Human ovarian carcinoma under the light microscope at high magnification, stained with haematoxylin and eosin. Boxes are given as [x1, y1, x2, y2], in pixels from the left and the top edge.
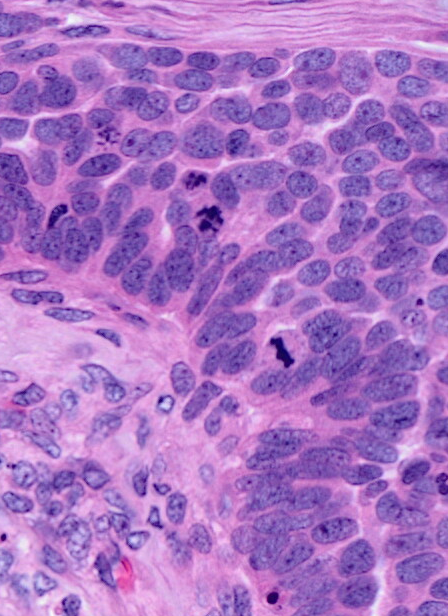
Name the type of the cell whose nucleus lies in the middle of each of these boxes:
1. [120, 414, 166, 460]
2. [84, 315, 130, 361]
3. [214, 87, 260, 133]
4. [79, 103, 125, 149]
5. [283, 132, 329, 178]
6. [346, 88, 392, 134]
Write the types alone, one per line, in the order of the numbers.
fibroblast
fibroblast
carcinoma cell
carcinoma cell
carcinoma cell
carcinoma cell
